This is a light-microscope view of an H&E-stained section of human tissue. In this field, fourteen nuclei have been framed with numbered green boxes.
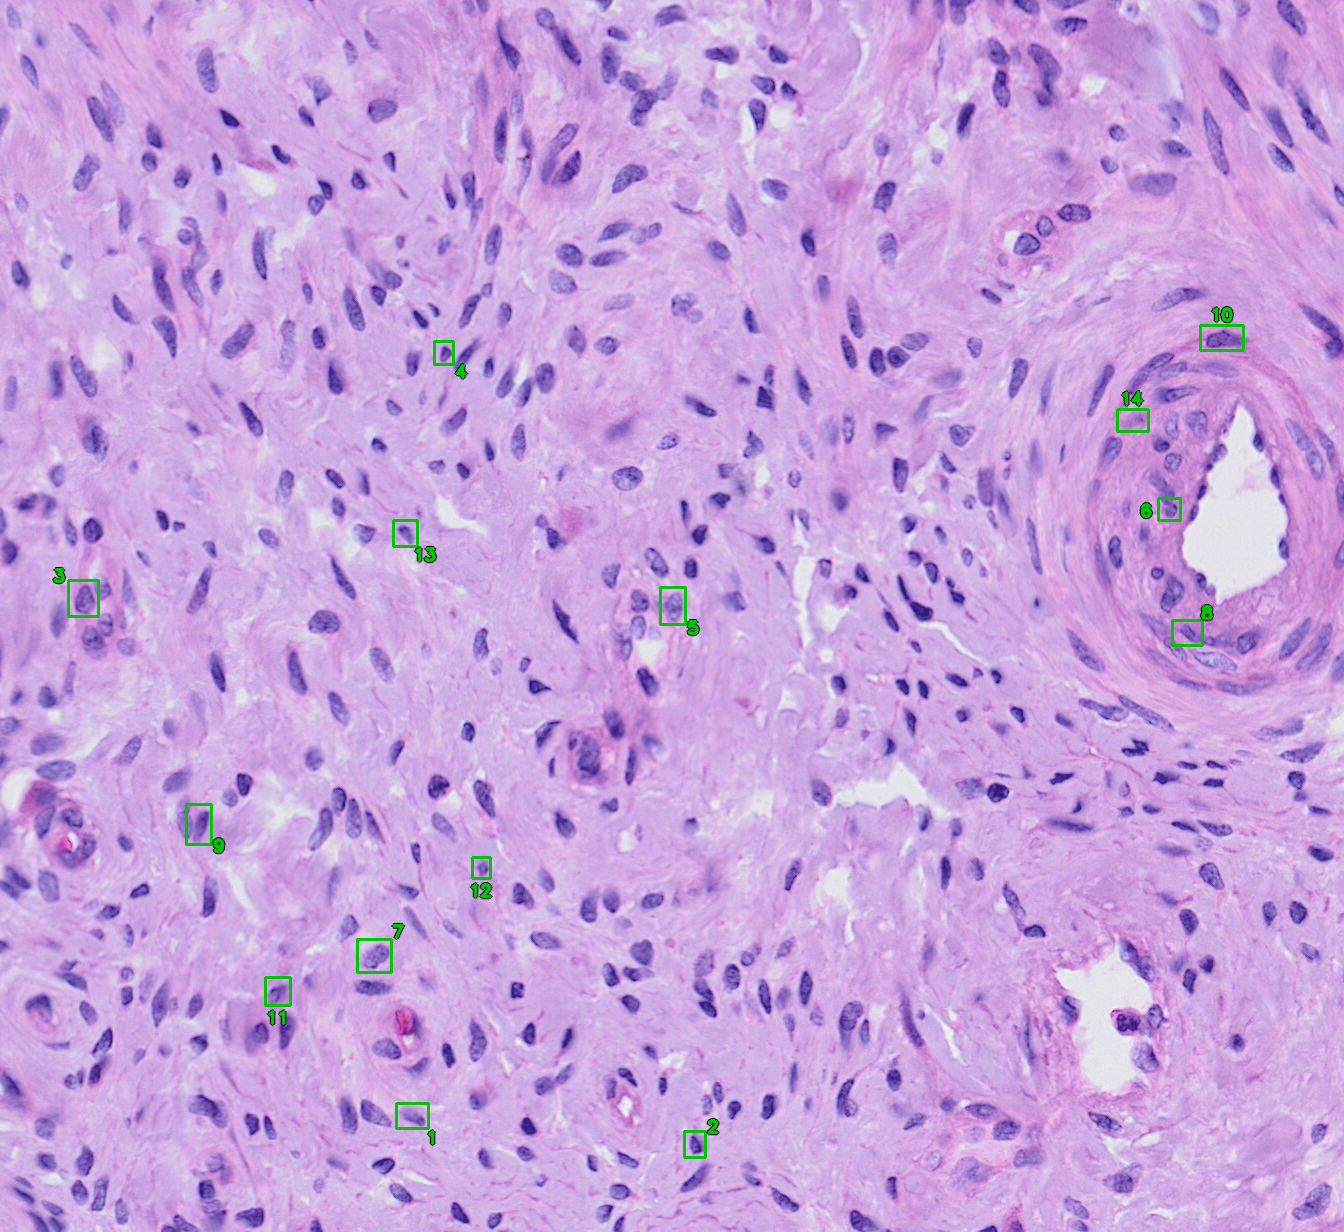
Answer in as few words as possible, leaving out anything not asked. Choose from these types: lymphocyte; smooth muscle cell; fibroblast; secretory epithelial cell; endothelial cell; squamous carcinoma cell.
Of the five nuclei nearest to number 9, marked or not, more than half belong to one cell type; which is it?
fibroblast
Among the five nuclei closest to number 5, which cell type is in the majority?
endothelial cell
